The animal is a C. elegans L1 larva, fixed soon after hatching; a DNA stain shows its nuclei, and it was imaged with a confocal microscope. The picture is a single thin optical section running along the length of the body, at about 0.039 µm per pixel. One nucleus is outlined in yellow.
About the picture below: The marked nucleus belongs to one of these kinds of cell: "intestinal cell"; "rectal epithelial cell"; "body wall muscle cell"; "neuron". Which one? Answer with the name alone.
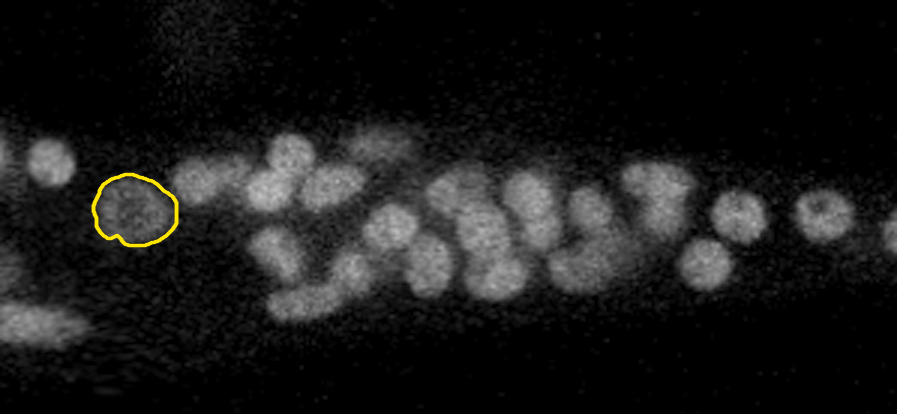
intestinal cell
